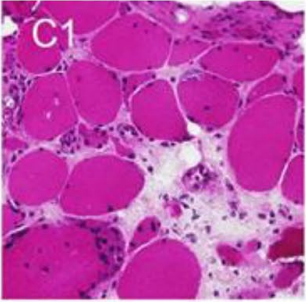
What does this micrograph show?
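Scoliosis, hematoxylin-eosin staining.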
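This is a cross-section of skeletal muscle in which the fibres are stained deep pink and vary strongly in size and shape, from large rounded fibres to small angular ones. The fibres are separated by widened pale connective tissue that holds many small dark purple nuclei. Some fibres show small clear spaces, and the tissue between the fibres appears loose and patchy.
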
